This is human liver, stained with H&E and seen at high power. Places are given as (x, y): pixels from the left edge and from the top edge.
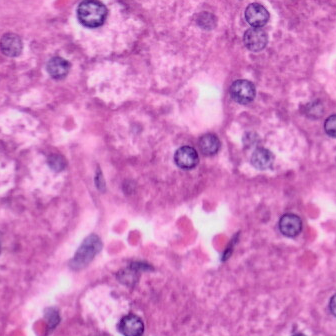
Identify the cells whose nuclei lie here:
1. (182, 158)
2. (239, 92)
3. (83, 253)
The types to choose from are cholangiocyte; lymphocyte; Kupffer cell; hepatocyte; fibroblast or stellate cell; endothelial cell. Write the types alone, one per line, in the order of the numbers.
hepatocyte
hepatocyte
Kupffer cell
